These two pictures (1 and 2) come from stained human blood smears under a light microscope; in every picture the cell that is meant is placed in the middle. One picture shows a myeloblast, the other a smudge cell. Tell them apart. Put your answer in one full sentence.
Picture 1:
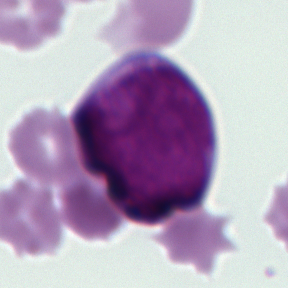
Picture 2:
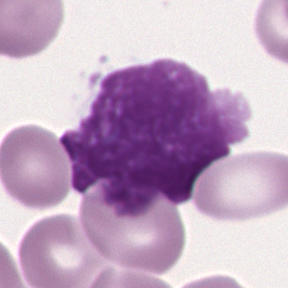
It is picture 1 that shows a myeloblast, and picture 2 that shows a smudge cell.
